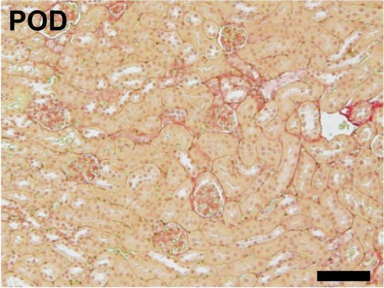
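Renal cortex with round glomeruli scattered among densely packed tubules. The tubules are cut in cross and oblique section. Their epithelium stains pale pink to beige and has small dark nuclei lining narrow or open lumens. Each glomerulus is a compact lobulated tuft inside a thin capsule outlined in red. Bright red fibres run in the interstitium between the tubules, around the glomeruli and along vessel walls, where they form thicker streaks. A few wider pale lumens, likely vessels, lie among the tubules. Scattered small yellow-green deposits are seen.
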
